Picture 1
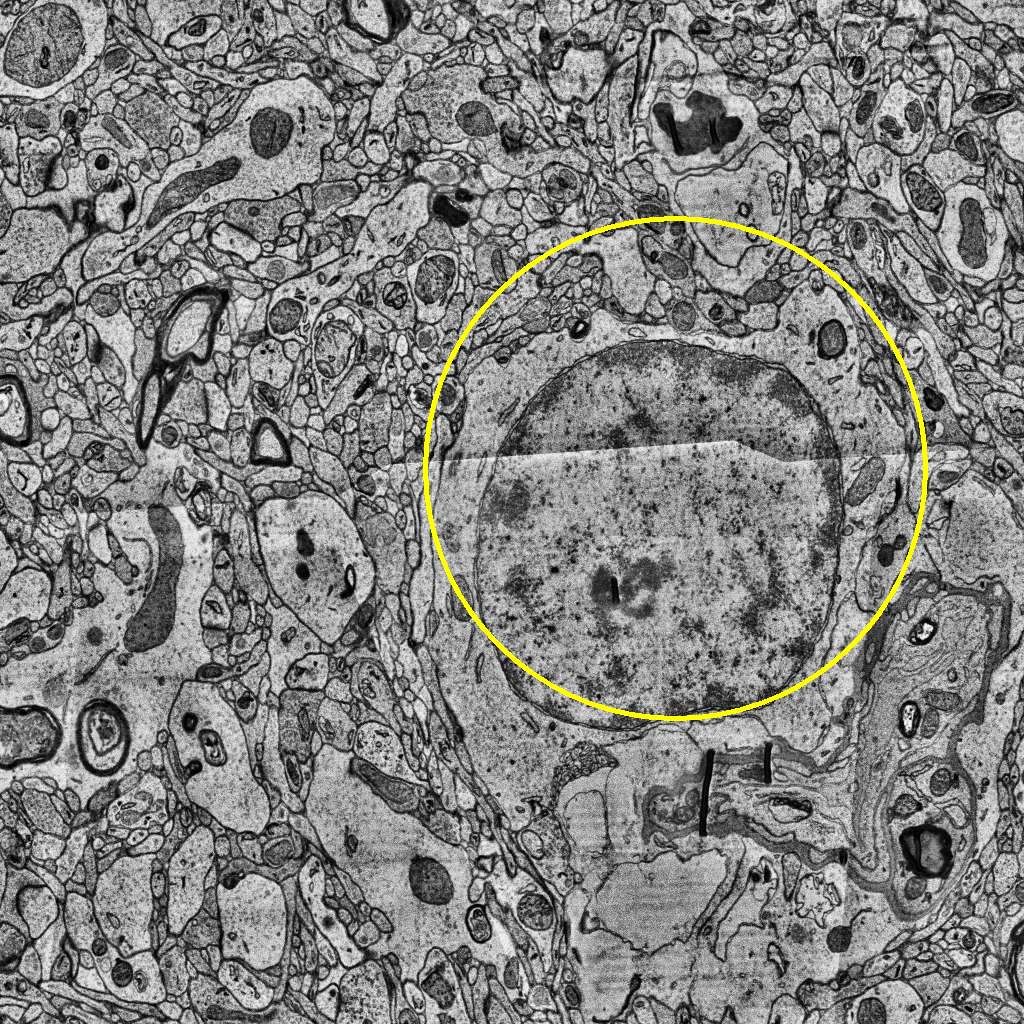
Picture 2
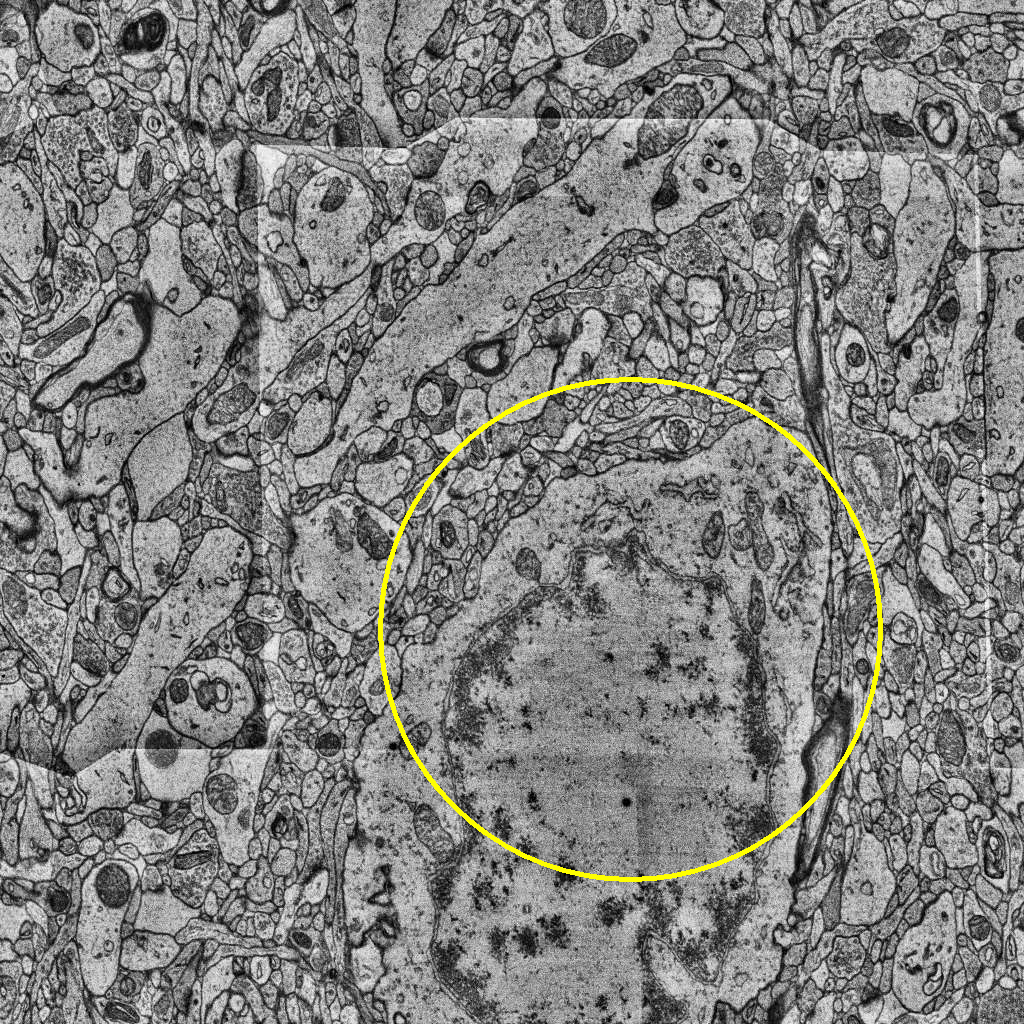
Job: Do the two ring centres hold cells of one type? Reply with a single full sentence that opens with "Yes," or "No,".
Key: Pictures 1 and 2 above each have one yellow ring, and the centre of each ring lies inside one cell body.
No, the cells at the two ring centres are of two separate types.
